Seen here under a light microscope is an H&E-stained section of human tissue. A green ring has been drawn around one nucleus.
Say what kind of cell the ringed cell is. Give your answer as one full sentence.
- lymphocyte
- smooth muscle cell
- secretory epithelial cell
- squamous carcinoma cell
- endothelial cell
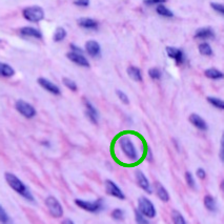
Just put down that the ringed cell is a smooth muscle cell.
